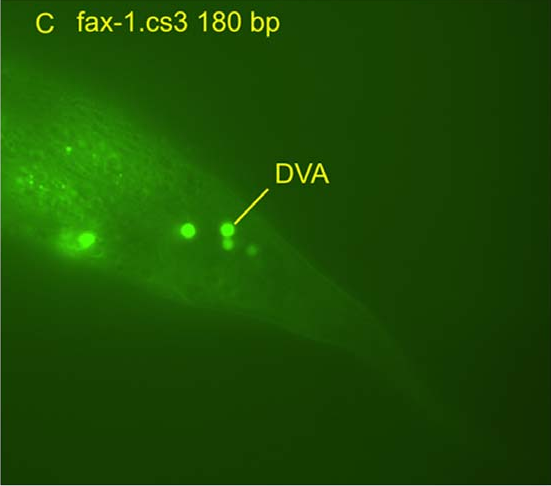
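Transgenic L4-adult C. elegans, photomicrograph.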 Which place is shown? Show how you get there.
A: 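Tail region. The faint green body outline narrows towards the lower right into a tapering end. A few bright round fluorescent cell bodies lie inside the tapering body.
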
